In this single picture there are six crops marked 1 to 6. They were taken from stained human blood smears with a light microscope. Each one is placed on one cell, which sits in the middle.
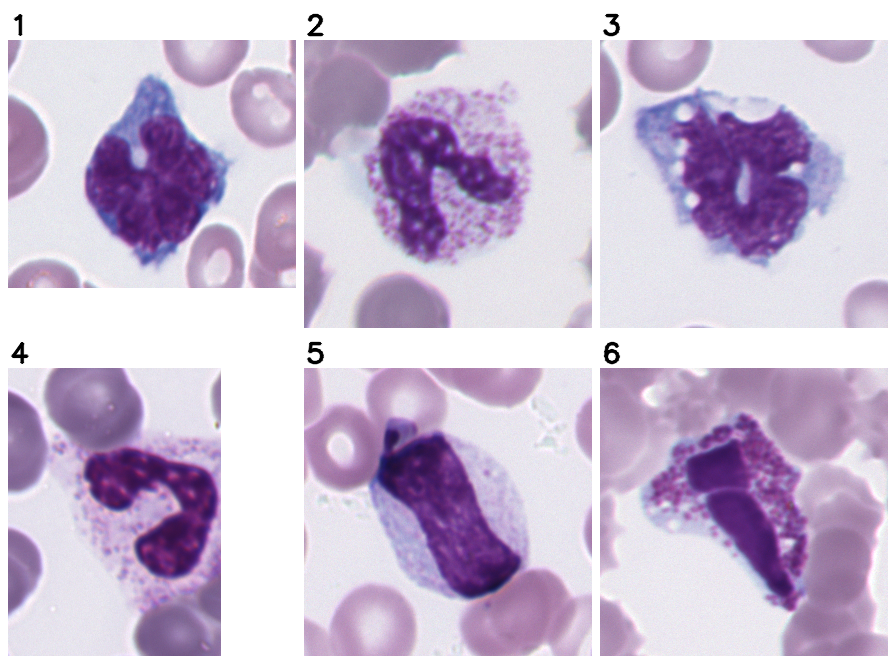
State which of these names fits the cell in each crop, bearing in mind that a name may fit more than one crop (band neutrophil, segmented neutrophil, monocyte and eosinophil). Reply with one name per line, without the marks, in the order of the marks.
monocyte
segmented neutrophil
monocyte
segmented neutrophil
band neutrophil
eosinophil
